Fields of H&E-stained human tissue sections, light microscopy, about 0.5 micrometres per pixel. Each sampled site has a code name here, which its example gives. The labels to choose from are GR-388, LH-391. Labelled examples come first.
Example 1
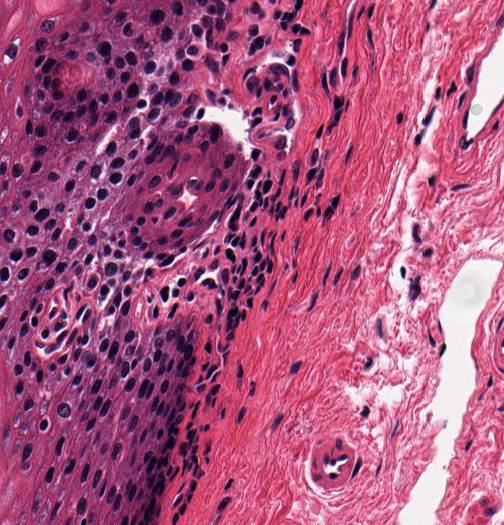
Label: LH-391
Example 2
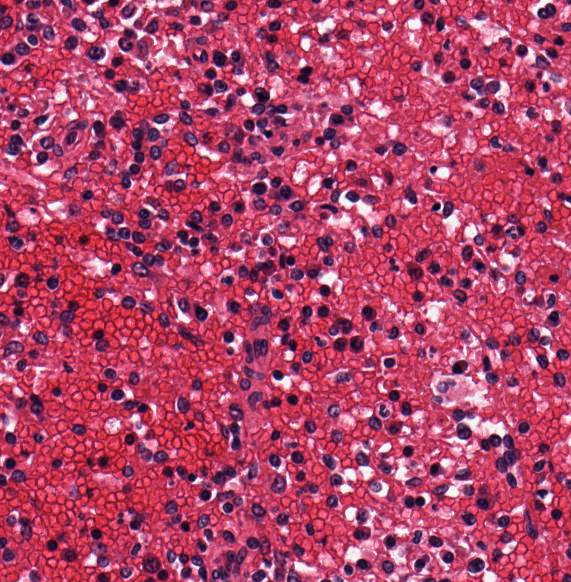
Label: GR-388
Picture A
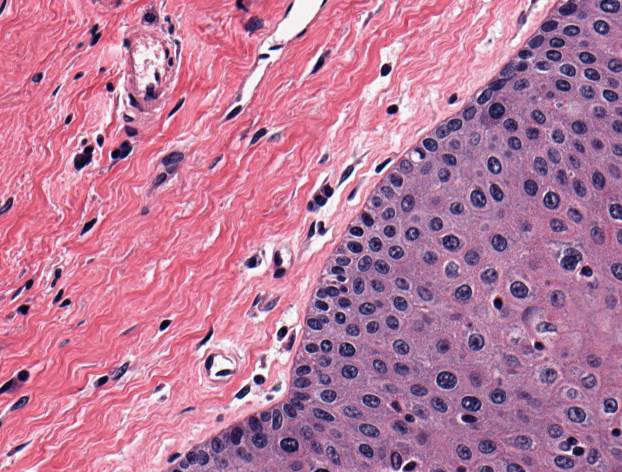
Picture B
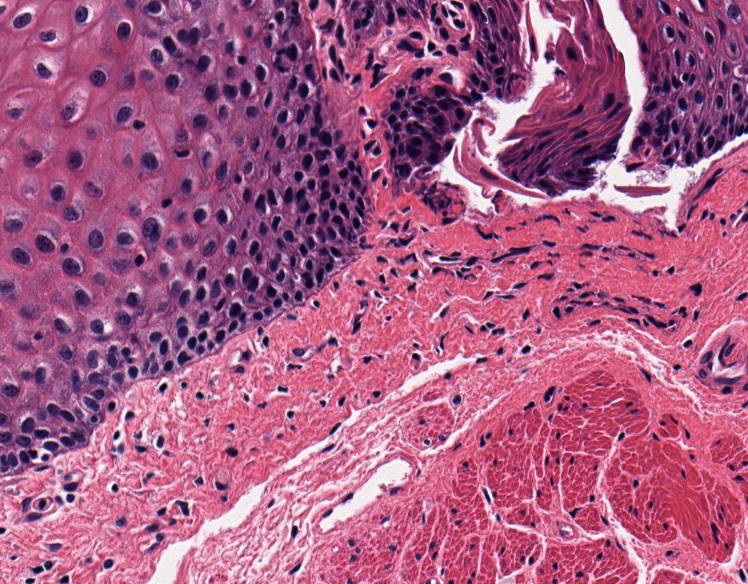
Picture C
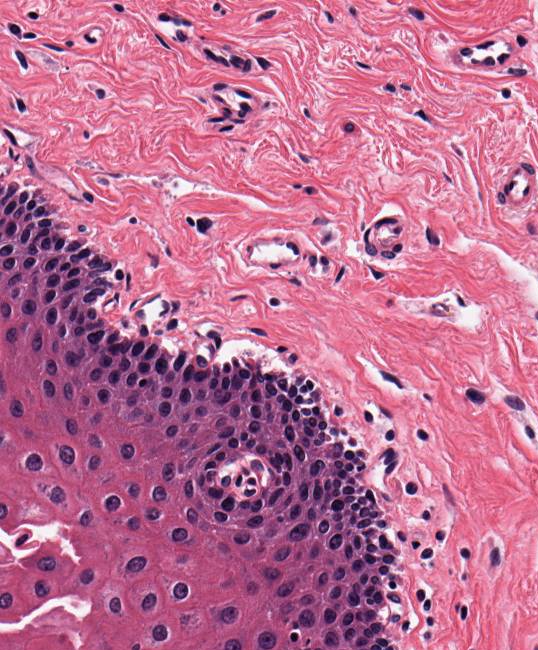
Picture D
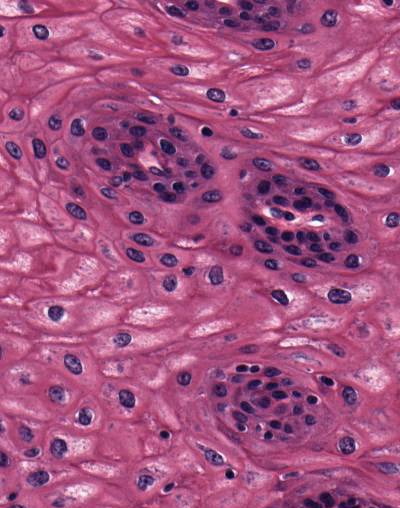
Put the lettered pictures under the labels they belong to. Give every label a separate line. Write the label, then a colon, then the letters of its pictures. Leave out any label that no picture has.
LH-391: A, B, C, D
